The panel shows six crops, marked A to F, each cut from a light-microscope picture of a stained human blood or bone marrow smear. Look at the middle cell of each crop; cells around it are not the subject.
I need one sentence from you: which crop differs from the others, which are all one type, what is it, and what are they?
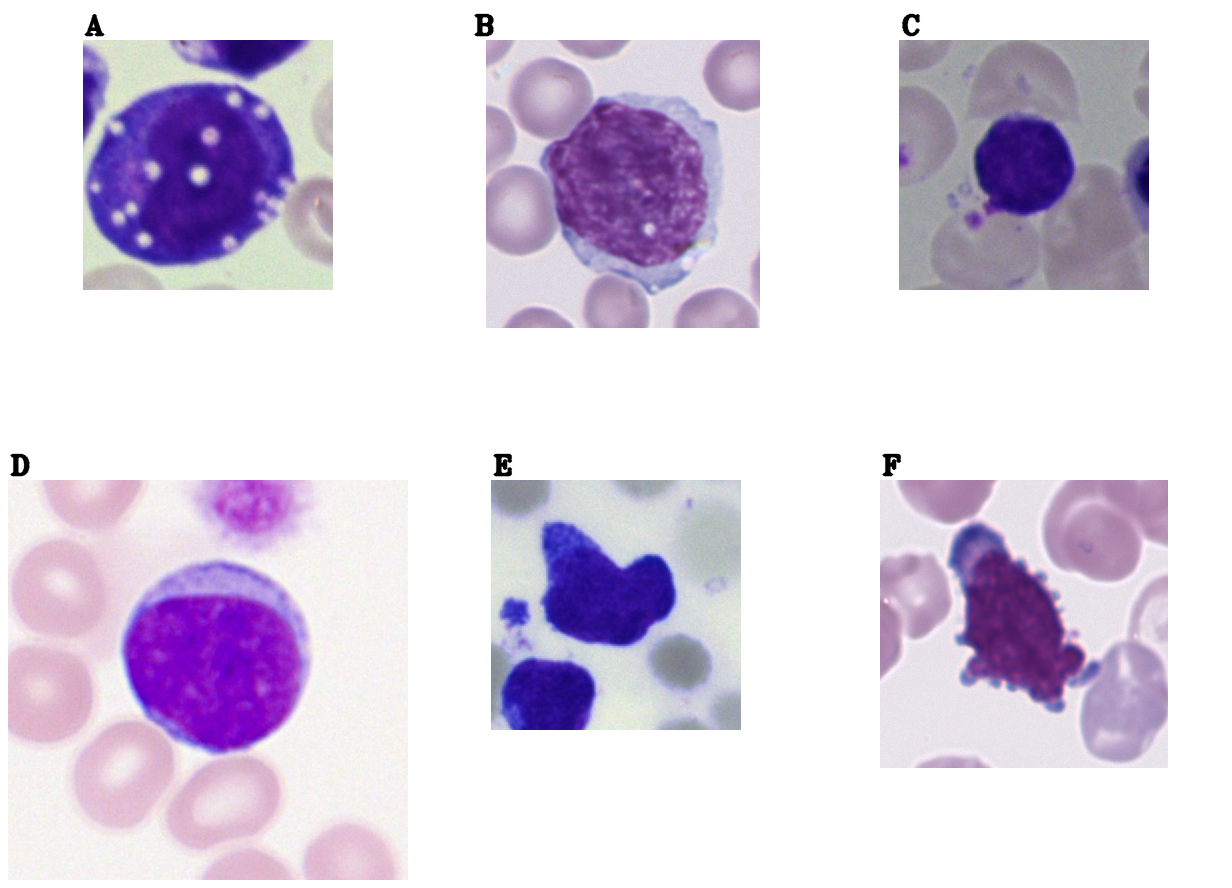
The others are all blasts; crop C is a lymphocyte.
